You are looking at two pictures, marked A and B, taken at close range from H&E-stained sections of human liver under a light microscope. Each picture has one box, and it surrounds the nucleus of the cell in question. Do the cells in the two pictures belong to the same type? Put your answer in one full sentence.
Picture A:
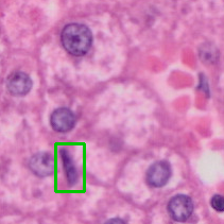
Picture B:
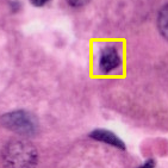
Yes, both cells are “fibroblasts or stellate cells”.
